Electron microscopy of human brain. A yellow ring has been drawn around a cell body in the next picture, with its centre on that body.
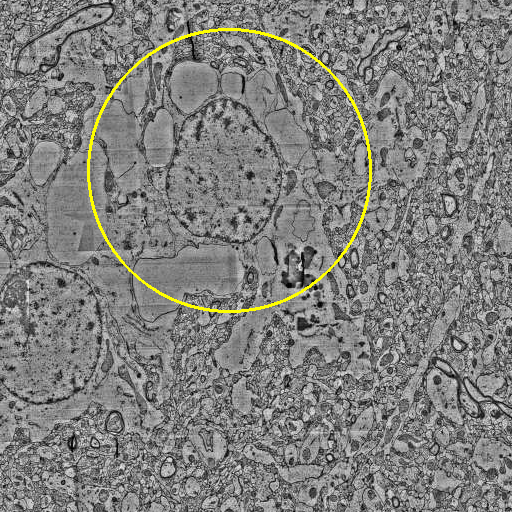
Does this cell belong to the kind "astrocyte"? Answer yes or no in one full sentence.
Yes, the ringed cell in this picture, sitting at the ring's centre, is of that kind.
